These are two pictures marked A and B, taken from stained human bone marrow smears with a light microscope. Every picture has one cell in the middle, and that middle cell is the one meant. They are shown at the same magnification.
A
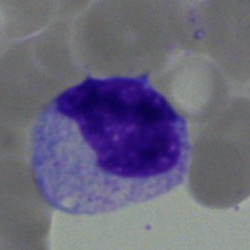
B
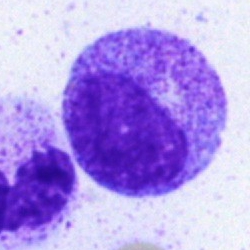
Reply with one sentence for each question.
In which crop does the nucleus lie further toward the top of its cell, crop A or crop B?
It is the nucleus in crop A that lies further toward the top of its cell.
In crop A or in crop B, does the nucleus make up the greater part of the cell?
In crop A the nucleus takes up the larger part of its cell.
